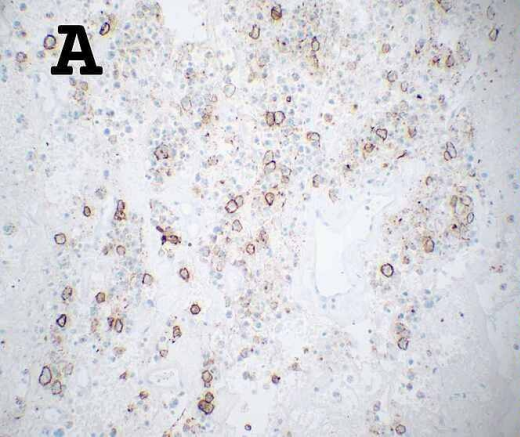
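This section shows loosely arranged cells in which scattered round cells carry brown staining outlining their cell membranes as rings. These stained cells lie singly or in small clusters among paler cells with blue-grey nuclei and faint cytoplasm. Some cells show only faint granular brown staining. The tissue is loose, with open pale spaces between groups of cells.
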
